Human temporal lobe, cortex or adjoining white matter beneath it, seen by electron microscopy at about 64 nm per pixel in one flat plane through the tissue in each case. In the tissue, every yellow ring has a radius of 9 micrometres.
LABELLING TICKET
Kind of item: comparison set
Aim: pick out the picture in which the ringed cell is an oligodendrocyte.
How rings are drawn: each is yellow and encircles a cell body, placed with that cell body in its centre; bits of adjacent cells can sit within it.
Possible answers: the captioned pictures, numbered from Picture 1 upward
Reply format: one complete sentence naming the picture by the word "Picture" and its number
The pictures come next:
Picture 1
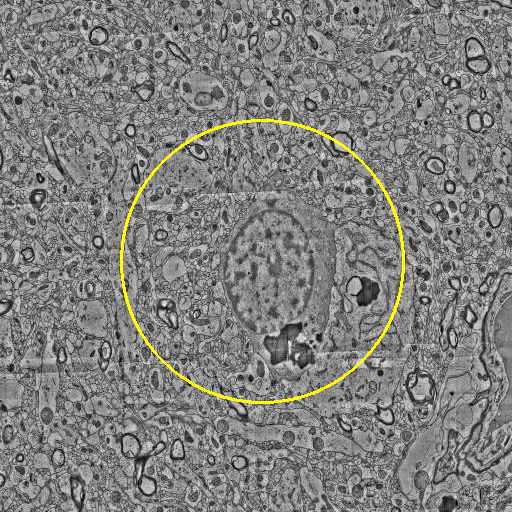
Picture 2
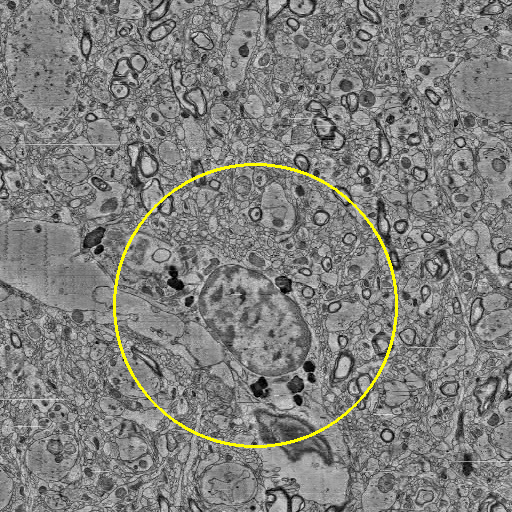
The cell centred inside the yellow ring in Picture 1 is the requested one.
